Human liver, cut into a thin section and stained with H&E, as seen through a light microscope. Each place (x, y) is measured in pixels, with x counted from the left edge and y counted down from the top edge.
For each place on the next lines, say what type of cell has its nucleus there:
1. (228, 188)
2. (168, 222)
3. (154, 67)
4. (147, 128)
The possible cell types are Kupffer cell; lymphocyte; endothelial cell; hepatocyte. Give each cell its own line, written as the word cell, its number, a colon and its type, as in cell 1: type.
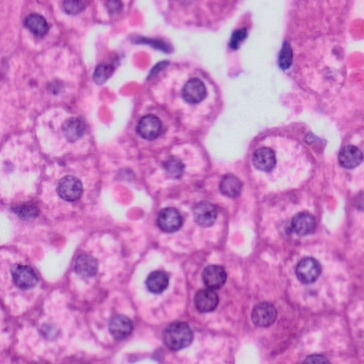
cell 1: hepatocyte
cell 2: hepatocyte
cell 3: endothelial cell
cell 4: hepatocyte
